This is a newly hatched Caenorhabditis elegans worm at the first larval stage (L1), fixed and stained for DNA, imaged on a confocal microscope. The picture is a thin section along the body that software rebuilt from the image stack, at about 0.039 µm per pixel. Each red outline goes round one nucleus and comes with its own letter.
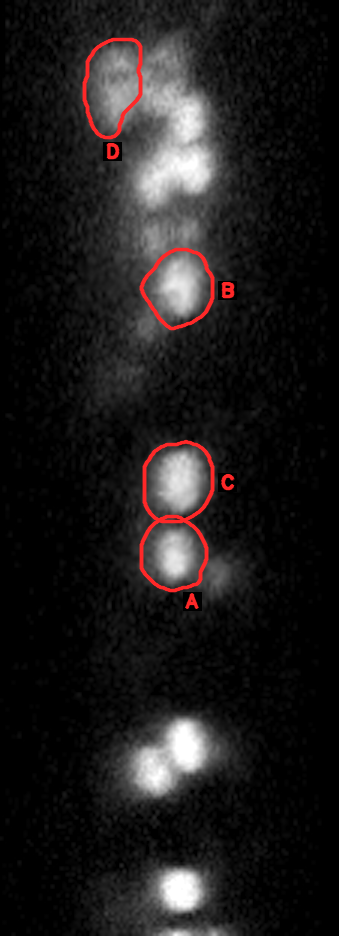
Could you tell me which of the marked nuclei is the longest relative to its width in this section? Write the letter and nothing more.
D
